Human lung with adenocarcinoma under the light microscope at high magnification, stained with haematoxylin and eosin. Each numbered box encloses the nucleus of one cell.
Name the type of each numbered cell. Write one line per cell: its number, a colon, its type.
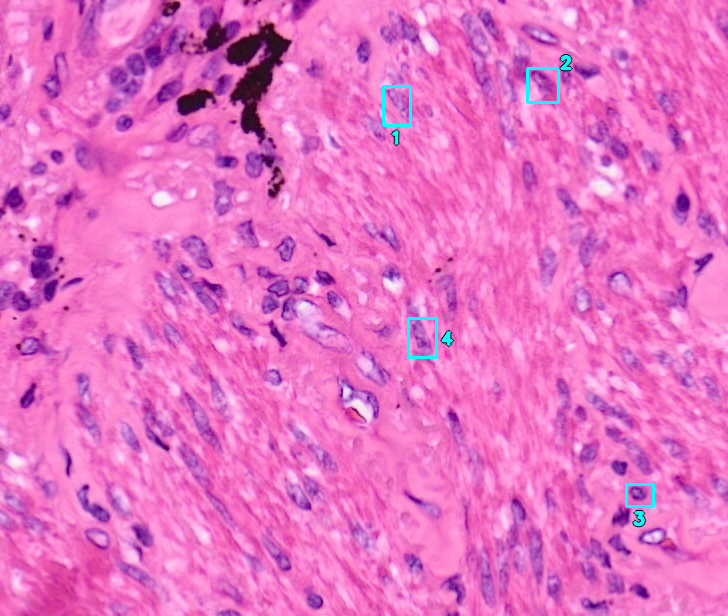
1: smooth muscle cell or pericyte
2: smooth muscle cell or pericyte
3: mast cell
4: smooth muscle cell or pericyte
